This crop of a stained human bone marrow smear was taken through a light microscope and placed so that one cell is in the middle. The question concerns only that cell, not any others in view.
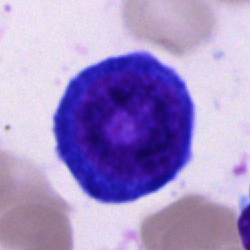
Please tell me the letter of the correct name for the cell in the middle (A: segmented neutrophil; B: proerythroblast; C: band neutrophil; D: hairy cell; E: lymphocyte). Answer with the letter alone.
B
